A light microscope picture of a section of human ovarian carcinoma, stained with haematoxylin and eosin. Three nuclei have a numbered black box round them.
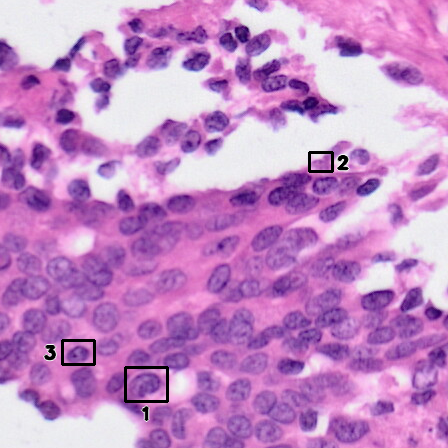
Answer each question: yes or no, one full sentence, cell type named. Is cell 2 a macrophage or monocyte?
No, cell 2 is not a macrophage or monocyte; a carcinoma cell is correct.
